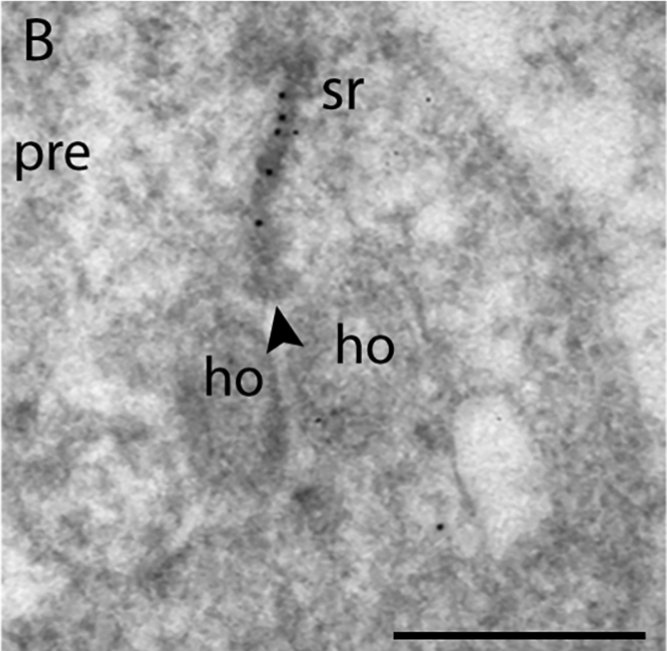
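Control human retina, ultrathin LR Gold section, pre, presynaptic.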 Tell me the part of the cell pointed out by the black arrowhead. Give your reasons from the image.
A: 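Active zone. The arrowhead points to the base of an elongated electron-dense band. The band ends at the presynaptic membrane where two postsynaptic processes meet.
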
